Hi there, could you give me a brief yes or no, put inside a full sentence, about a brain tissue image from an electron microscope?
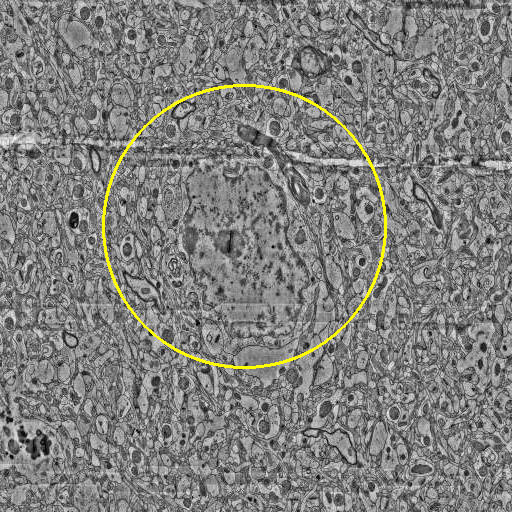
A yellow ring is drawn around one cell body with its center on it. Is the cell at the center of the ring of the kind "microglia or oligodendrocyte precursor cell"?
No, the cell found at the center of the yellow ring is of a different kind.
